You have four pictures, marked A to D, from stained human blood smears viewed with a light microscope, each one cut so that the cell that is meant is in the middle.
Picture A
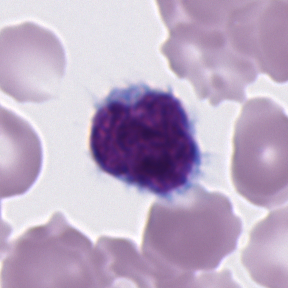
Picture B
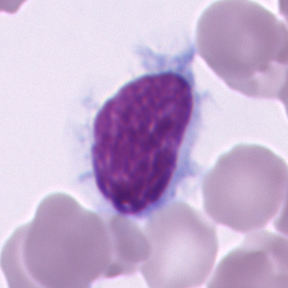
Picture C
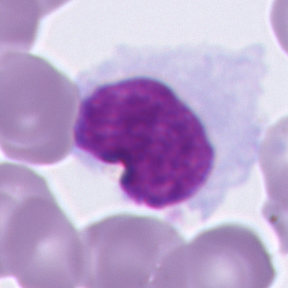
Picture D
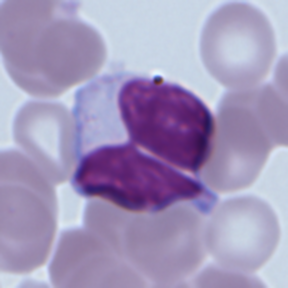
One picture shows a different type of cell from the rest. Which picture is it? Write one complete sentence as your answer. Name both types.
Picture D differs, because its cell is a large granular lymphocyte and the rest are hairy cells.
